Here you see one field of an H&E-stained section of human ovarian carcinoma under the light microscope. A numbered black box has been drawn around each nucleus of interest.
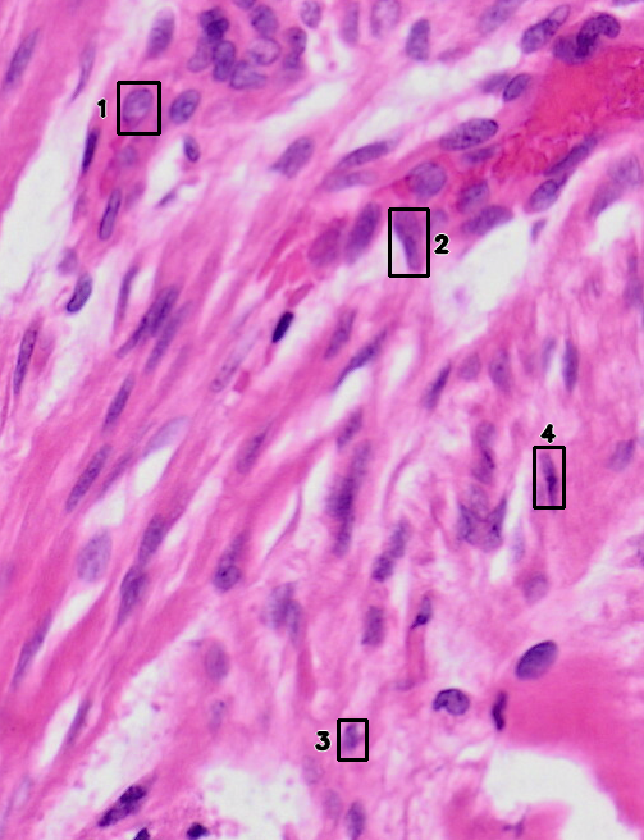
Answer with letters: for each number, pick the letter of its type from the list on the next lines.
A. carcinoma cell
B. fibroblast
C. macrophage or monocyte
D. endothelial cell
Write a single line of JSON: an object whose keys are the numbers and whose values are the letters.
{"1": "D", "2": "B", "3": "B", "4": "B"}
